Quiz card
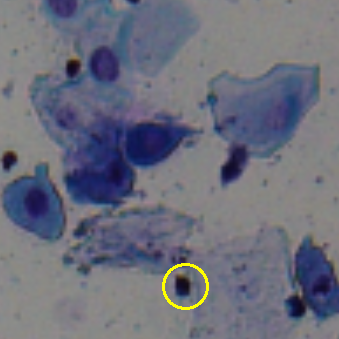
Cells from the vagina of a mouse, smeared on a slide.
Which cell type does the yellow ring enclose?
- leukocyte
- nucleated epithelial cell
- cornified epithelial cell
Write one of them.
leukocyte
